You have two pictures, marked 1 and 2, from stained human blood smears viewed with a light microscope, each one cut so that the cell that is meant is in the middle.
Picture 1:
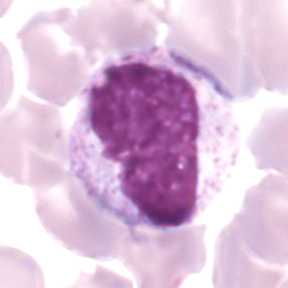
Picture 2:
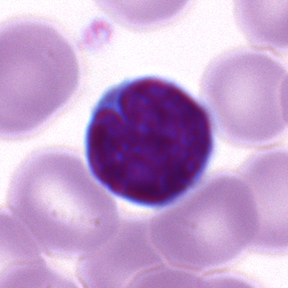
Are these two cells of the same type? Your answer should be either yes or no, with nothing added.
no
